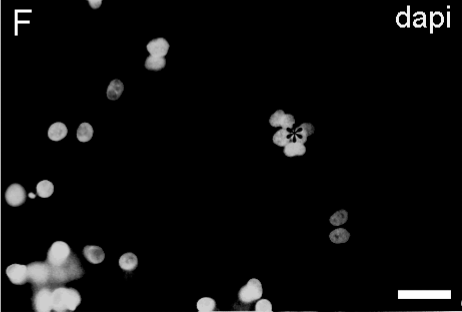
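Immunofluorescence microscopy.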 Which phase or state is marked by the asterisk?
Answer: Tetra-nucleated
